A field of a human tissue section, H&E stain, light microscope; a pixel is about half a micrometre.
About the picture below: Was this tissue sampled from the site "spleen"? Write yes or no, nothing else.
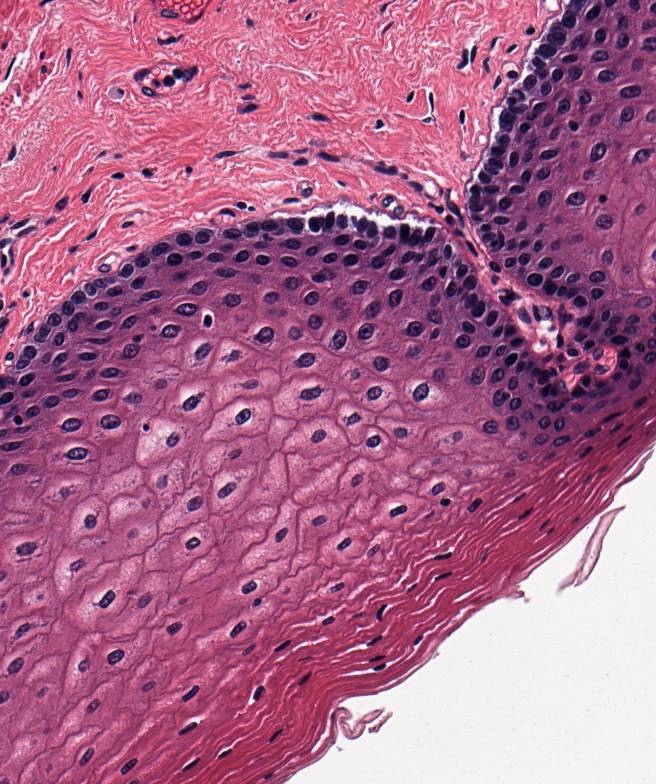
no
